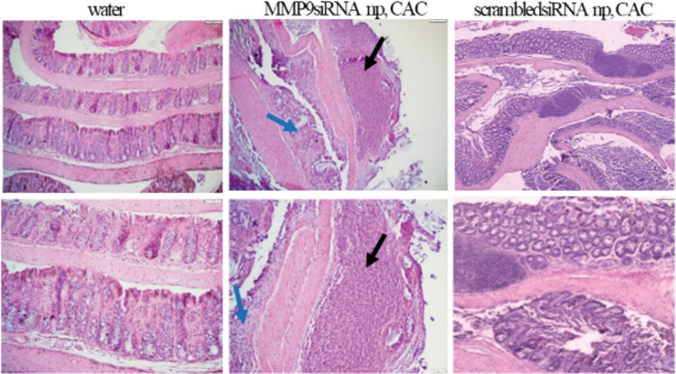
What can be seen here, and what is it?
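In the left column the mucosa forms regular, evenly spaced straight crypts lined by a single layer of columnar epithelium with pale goblet cells, resting on a thin submucosa and pink muscle layers. In the middle column the orderly crypt pattern is lost: a broad, densely packed cellular mass bulges from the wall, and nearby epithelium forms crowded, irregular glands. In the right column the crypts are partly preserved but distorted, with dense purple clusters of small round cells lying within the mucosa.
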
